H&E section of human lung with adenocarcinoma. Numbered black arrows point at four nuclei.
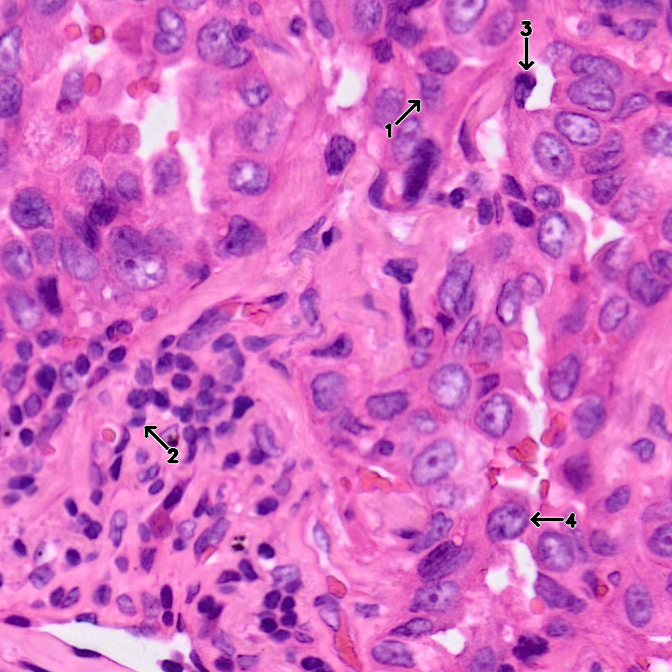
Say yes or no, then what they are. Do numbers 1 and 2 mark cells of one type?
No, cell 1 is a carcinoma cell and cell 2 is a lymphocyte.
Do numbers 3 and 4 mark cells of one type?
Yes, both are carcinoma cells.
